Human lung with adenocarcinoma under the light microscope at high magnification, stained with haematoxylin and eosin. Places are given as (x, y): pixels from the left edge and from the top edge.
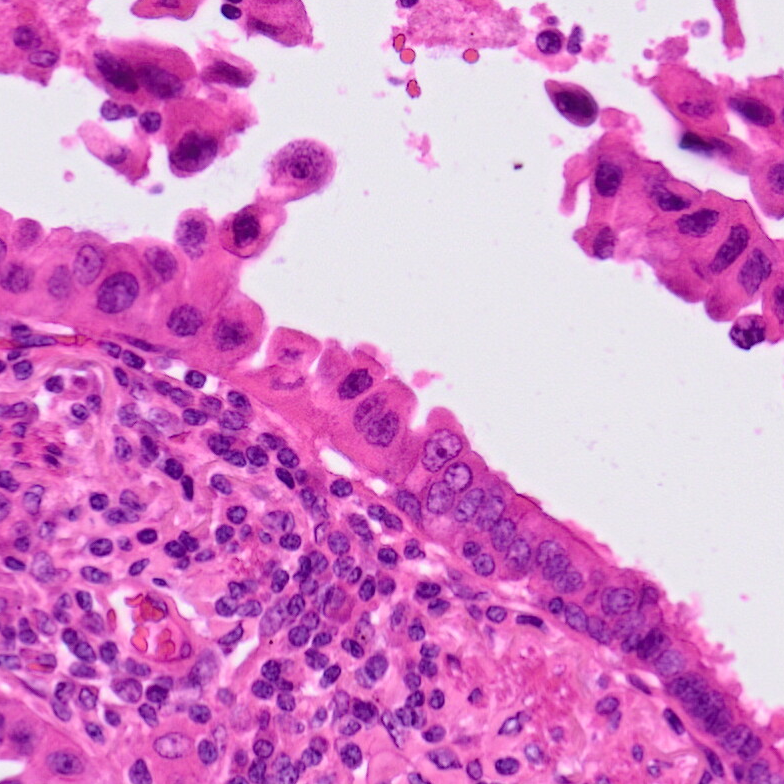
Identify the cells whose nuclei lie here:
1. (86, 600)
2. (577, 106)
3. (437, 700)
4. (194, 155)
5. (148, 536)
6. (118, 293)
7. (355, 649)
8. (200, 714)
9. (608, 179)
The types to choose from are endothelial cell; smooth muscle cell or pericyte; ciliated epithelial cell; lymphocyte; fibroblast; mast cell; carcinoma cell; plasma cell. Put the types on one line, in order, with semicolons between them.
lymphocyte; carcinoma cell; lymphocyte; carcinoma cell; lymphocyte; carcinoma cell; lymphocyte; lymphocyte; carcinoma cell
